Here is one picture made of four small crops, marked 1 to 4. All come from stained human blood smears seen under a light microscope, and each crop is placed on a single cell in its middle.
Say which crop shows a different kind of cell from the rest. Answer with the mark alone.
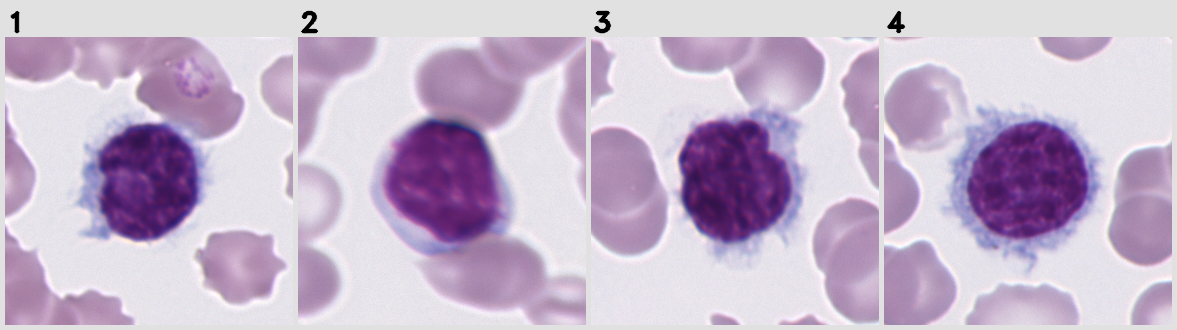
2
